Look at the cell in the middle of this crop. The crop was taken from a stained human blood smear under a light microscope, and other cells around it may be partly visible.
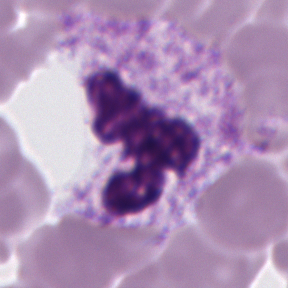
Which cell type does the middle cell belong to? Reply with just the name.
segmented neutrophil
